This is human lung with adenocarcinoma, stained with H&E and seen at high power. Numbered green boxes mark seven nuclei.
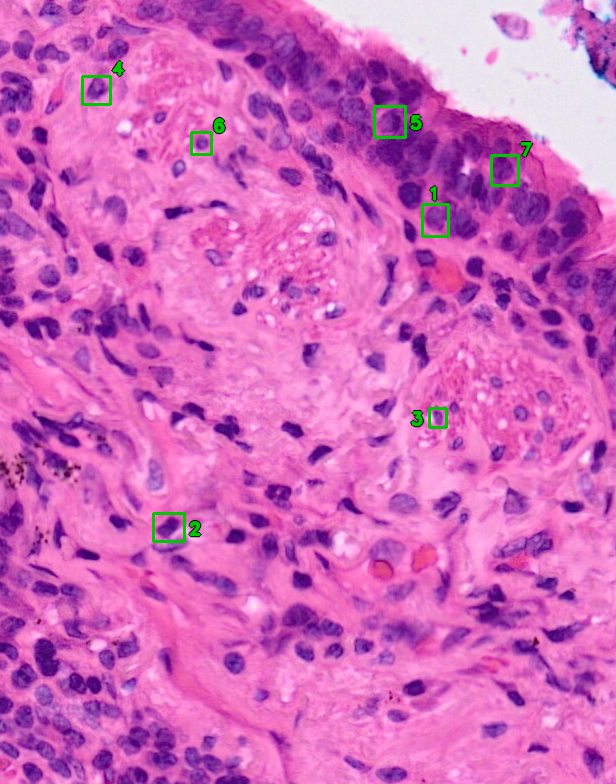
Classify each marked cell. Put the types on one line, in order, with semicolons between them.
ciliated epithelial cell; lymphocyte; smooth muscle cell or pericyte; plasma cell; ciliated epithelial cell; smooth muscle cell or pericyte; ciliated epithelial cell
